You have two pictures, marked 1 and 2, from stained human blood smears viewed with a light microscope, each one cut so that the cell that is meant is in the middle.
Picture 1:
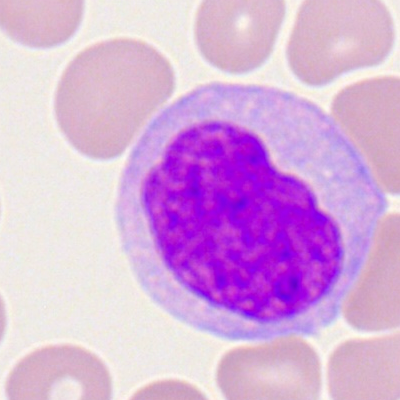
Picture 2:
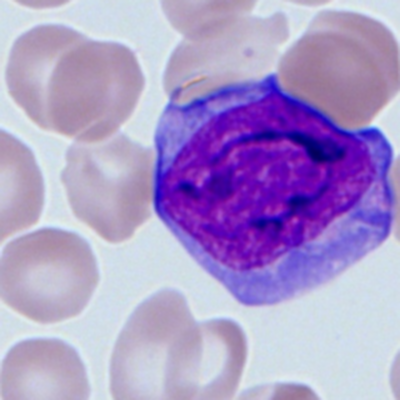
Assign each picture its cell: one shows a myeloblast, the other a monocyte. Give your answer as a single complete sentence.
Picture 2 shows a myeloblast, while picture 1 shows a monocyte.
